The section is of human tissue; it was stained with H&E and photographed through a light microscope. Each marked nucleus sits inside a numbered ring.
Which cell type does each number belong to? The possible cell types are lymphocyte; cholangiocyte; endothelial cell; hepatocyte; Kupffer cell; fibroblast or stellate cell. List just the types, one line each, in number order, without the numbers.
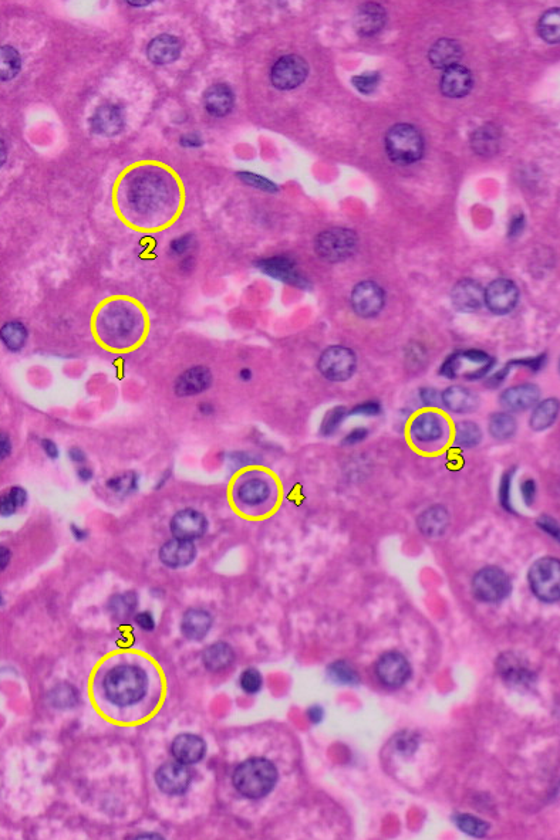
hepatocyte
hepatocyte
hepatocyte
cholangiocyte
cholangiocyte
